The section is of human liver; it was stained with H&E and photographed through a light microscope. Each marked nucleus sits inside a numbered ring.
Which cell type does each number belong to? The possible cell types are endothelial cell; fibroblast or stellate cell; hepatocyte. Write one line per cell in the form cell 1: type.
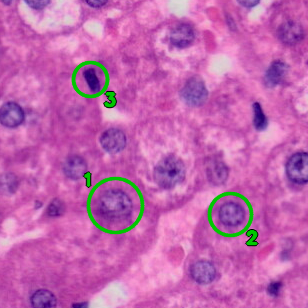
cell 1: hepatocyte
cell 2: hepatocyte
cell 3: fibroblast or stellate cell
